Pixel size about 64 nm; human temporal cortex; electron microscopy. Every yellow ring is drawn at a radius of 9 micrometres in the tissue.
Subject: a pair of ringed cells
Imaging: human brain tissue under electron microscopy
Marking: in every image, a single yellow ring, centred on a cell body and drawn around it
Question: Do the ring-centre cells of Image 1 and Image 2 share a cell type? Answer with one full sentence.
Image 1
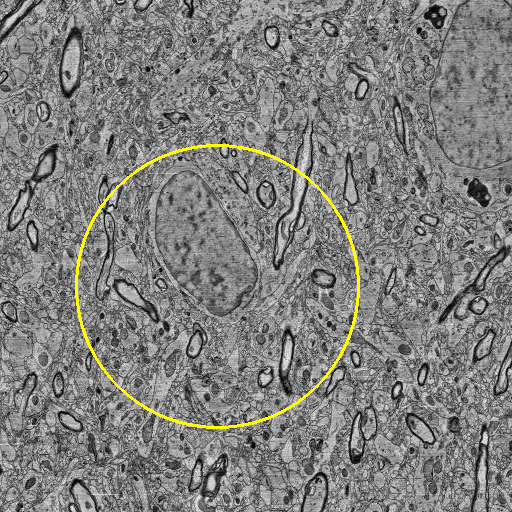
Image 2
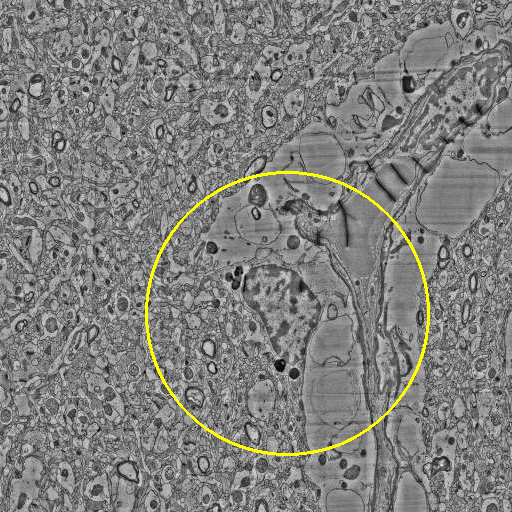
Yes, at each ring's centre in the images sits a cell of one common type.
